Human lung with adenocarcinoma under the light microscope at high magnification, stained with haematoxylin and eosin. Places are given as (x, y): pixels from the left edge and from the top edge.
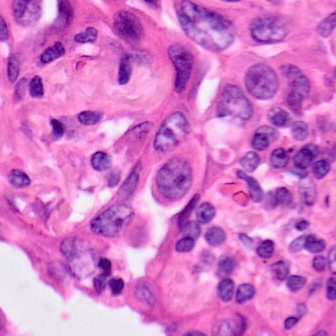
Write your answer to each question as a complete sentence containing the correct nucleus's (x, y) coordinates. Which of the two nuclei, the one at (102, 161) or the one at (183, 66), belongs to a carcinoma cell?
Of these two nuclei, it is the one at (183, 66) that belongs to a carcinoma cell.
